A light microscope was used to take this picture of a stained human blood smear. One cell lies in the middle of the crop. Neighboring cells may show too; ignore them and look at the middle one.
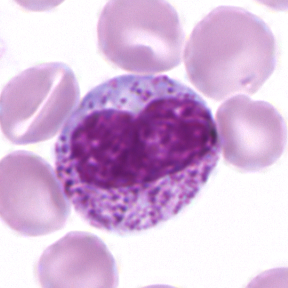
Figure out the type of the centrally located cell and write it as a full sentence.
The target cell in the middle of the crop is a metamyelocyte.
